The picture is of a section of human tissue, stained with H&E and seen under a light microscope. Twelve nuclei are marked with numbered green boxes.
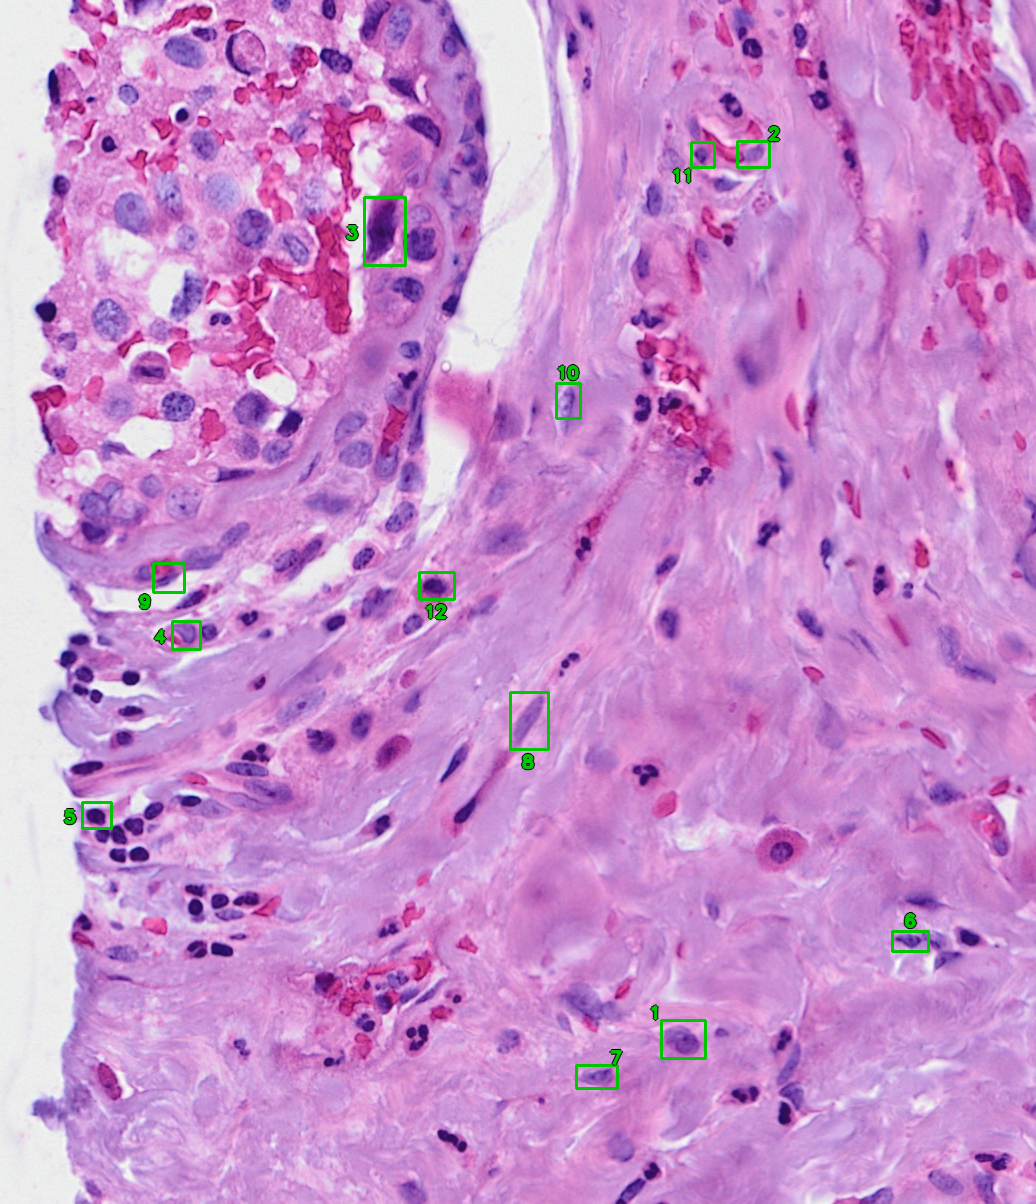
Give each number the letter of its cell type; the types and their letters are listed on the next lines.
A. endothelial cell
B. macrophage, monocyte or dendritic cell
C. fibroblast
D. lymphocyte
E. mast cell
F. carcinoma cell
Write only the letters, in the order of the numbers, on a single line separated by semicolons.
C; A; F; A; D; C; C; C; A; C; A; E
